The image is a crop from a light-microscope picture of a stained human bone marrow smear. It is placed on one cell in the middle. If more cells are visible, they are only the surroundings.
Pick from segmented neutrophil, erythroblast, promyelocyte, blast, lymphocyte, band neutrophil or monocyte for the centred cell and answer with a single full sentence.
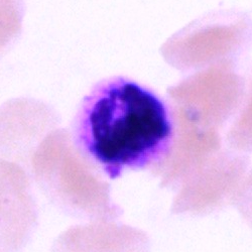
The cell in the middle of the field of view is a segmented neutrophil.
